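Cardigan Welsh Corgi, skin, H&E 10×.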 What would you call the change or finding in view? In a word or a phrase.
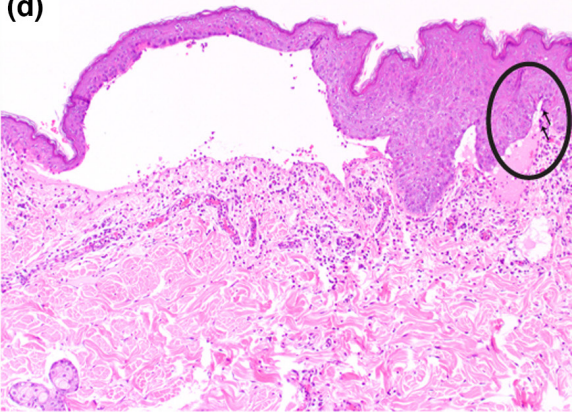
Subepidermal vesicle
